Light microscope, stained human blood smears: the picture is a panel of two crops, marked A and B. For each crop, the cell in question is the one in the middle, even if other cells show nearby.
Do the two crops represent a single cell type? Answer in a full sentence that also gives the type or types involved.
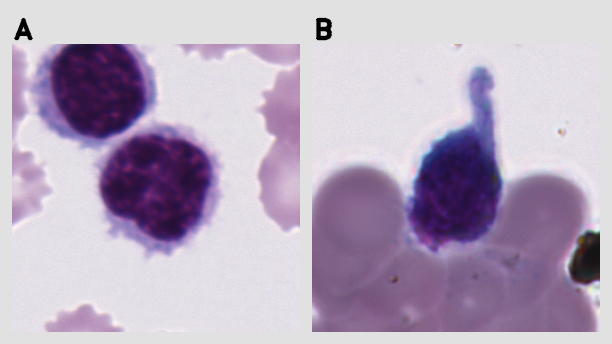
No, the cell of interest in crop A is a hairy cell, and in crop B it is a plasma cell.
